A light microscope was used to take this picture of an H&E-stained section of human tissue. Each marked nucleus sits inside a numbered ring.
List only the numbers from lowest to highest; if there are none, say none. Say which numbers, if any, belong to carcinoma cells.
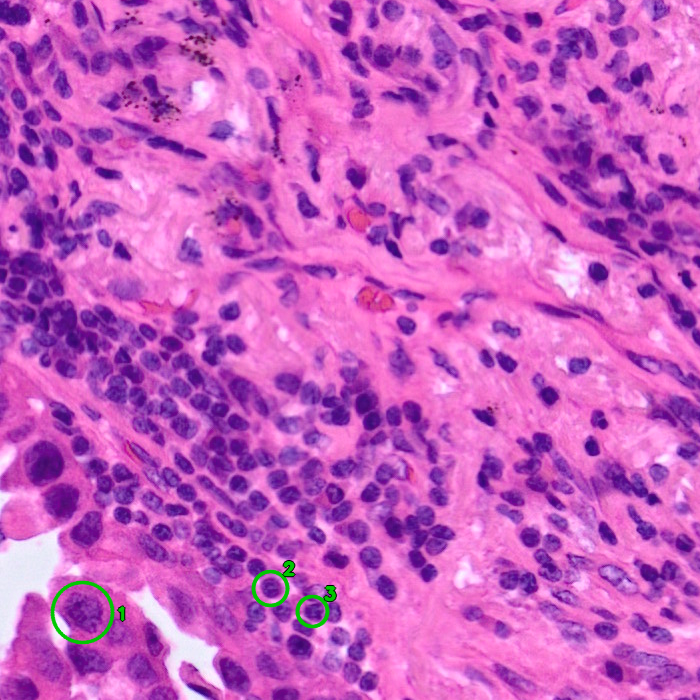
1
